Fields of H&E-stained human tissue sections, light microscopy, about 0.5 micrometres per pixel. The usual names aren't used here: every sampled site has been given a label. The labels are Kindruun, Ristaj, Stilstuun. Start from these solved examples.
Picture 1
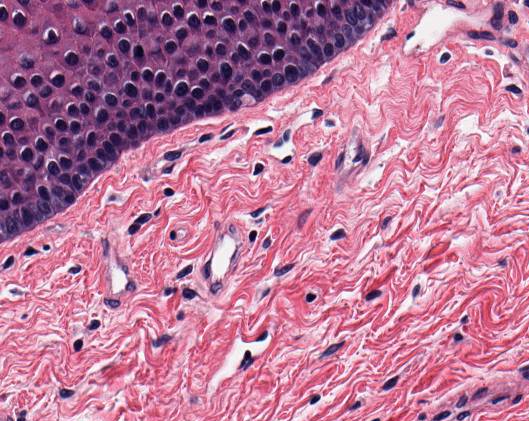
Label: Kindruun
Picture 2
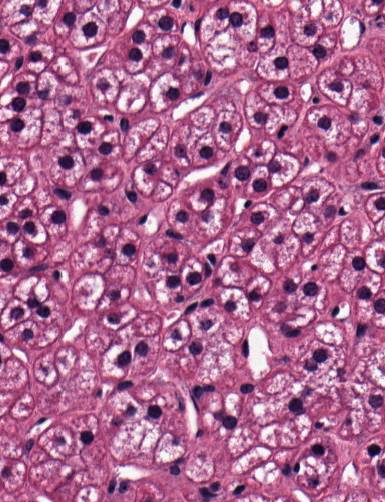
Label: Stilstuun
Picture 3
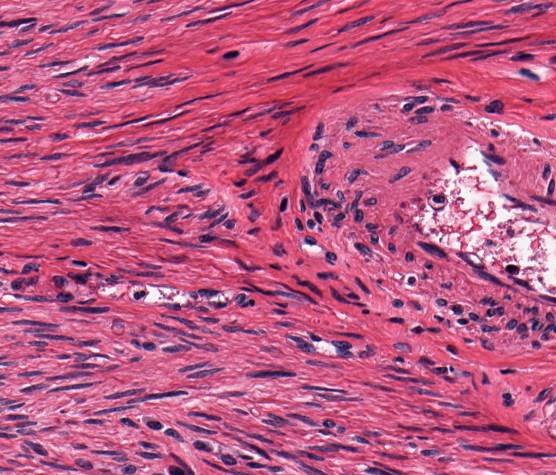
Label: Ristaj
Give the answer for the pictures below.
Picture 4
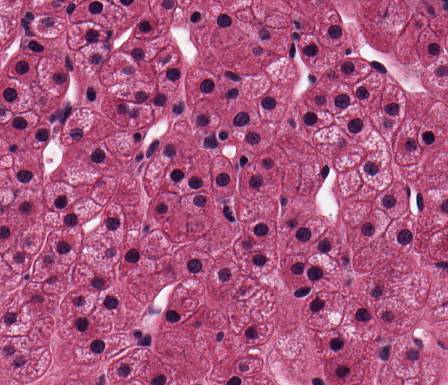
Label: Stilstuun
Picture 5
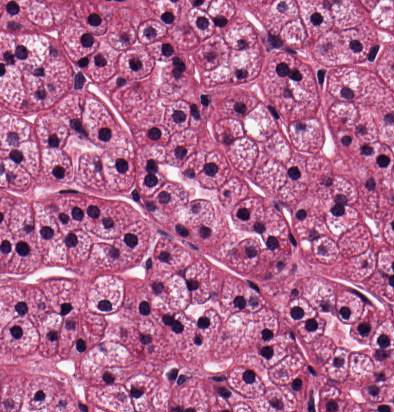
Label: Stilstuun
